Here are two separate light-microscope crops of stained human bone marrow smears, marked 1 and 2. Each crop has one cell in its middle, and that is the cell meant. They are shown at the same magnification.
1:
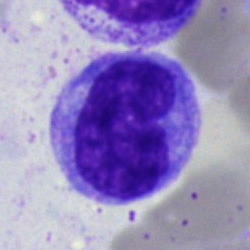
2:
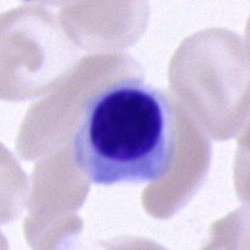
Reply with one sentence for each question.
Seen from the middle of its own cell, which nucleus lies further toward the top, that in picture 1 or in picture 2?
Seen within its cell, the nucleus in picture 2 lies further toward the top.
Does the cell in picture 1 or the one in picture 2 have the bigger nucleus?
Larger is the nucleus in picture 1, at roughly 3 times the area of the other.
